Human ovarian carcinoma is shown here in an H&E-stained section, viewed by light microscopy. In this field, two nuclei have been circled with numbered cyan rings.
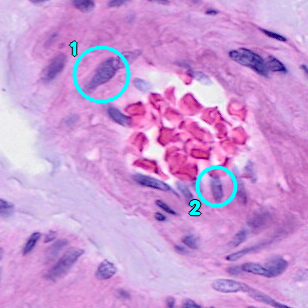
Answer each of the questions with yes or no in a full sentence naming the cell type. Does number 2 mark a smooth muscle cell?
No, sorry, the cell labelled 2 is not a smooth muscle cell; it is an endothelial cell.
